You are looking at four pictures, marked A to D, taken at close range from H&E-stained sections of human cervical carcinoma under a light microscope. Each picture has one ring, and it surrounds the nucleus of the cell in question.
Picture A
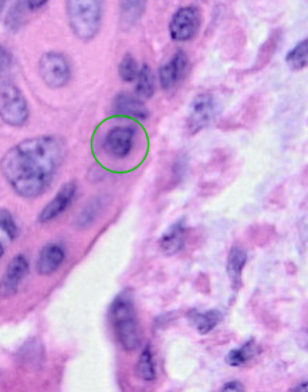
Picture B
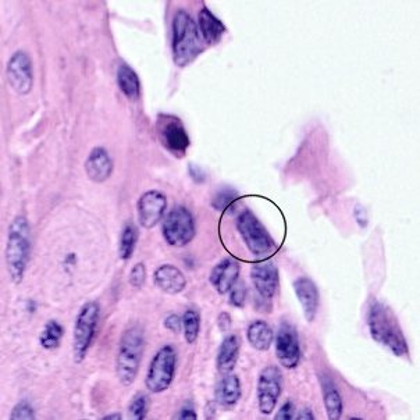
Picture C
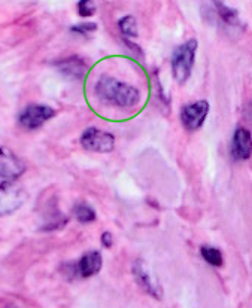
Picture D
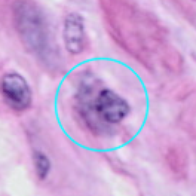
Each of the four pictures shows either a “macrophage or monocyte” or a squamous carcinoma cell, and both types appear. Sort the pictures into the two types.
A: squamous carcinoma cell
B: squamous carcinoma cell
C: macrophage or monocyte
D: macrophage or monocyte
